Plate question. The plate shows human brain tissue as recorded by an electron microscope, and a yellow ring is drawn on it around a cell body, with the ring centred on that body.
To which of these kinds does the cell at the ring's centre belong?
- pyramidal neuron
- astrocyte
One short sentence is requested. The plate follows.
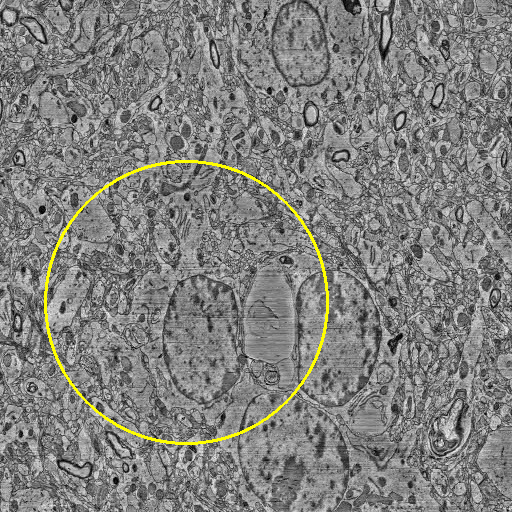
The cell at the ring's centre is an astrocyte.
